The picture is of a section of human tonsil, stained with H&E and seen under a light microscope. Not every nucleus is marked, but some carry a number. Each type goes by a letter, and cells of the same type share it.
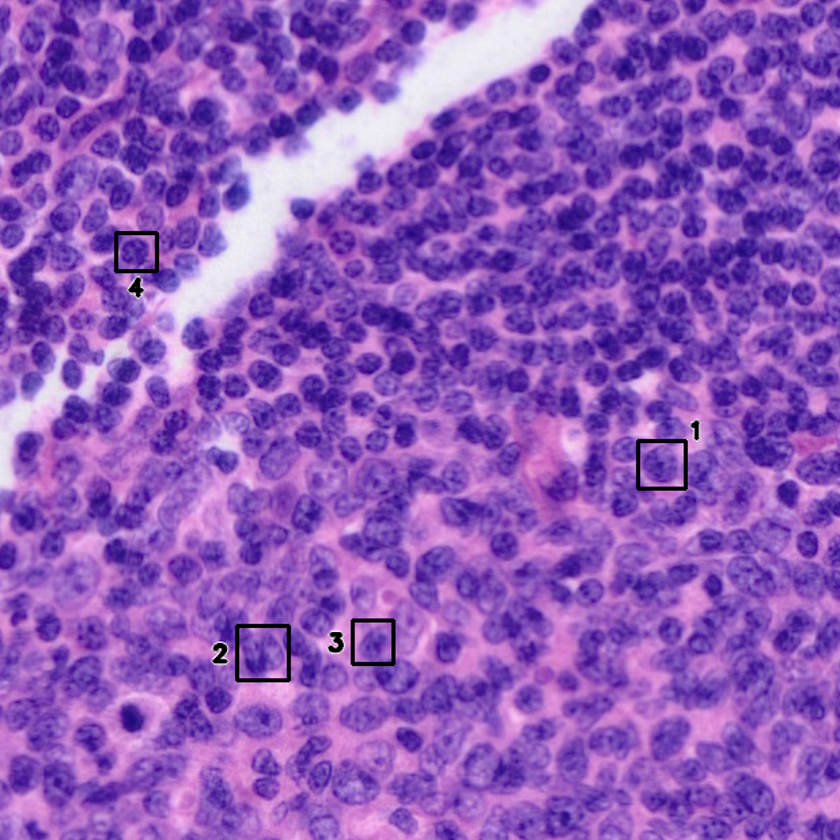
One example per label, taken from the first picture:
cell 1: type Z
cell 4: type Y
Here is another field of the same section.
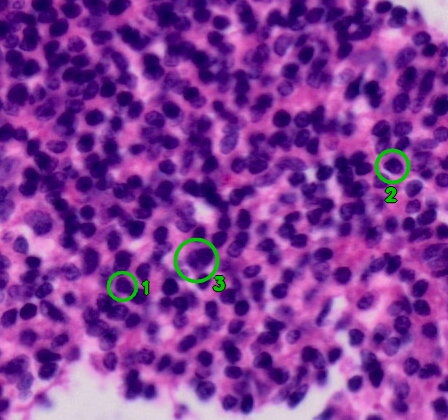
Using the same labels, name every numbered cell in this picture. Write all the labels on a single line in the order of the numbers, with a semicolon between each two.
type Y; type Y; type Z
